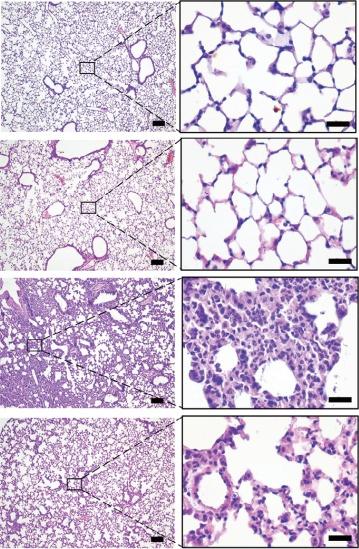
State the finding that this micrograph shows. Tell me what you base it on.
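Lung injury. In the third row the alveolar walls are thickened and crowded with cells with dark purple nuclei. In the top two rows the air spaces are open and bounded by thin septa.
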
